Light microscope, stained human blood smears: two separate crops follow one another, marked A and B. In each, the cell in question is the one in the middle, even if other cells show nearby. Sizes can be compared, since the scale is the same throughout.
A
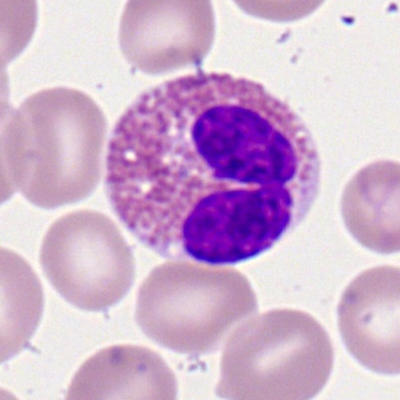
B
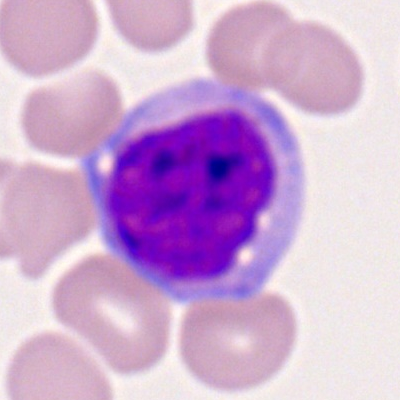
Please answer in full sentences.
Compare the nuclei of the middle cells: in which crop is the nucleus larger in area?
Crop B shows the larger nucleus; it covers about 1.5 times the area of the nucleus in crop A.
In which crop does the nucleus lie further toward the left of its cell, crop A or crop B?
Seen within its cell, the nucleus in crop B lies further toward the left.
